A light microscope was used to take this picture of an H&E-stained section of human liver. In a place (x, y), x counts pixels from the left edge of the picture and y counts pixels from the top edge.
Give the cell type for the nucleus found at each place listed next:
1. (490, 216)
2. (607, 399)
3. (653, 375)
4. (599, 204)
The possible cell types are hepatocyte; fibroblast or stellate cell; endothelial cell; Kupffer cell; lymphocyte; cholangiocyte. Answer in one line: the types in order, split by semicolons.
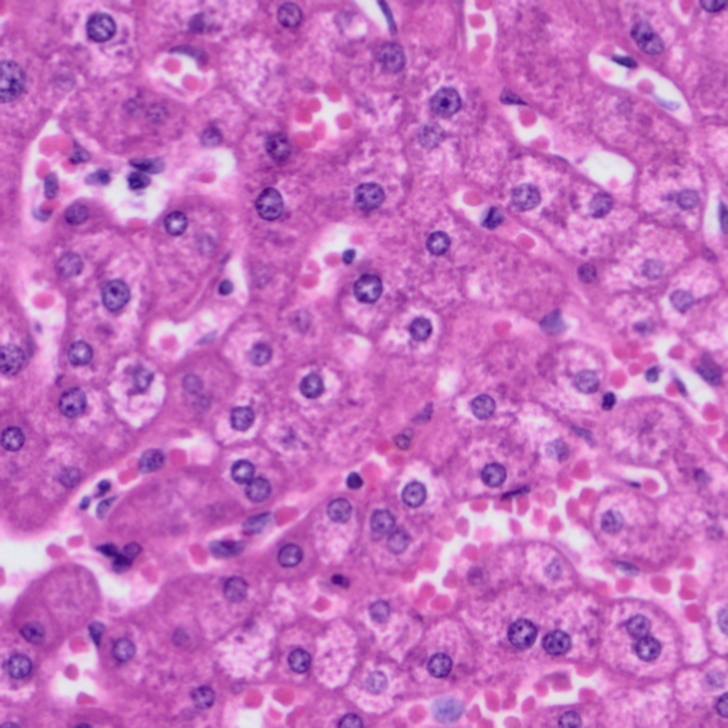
endothelial cell; lymphocyte; lymphocyte; hepatocyte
